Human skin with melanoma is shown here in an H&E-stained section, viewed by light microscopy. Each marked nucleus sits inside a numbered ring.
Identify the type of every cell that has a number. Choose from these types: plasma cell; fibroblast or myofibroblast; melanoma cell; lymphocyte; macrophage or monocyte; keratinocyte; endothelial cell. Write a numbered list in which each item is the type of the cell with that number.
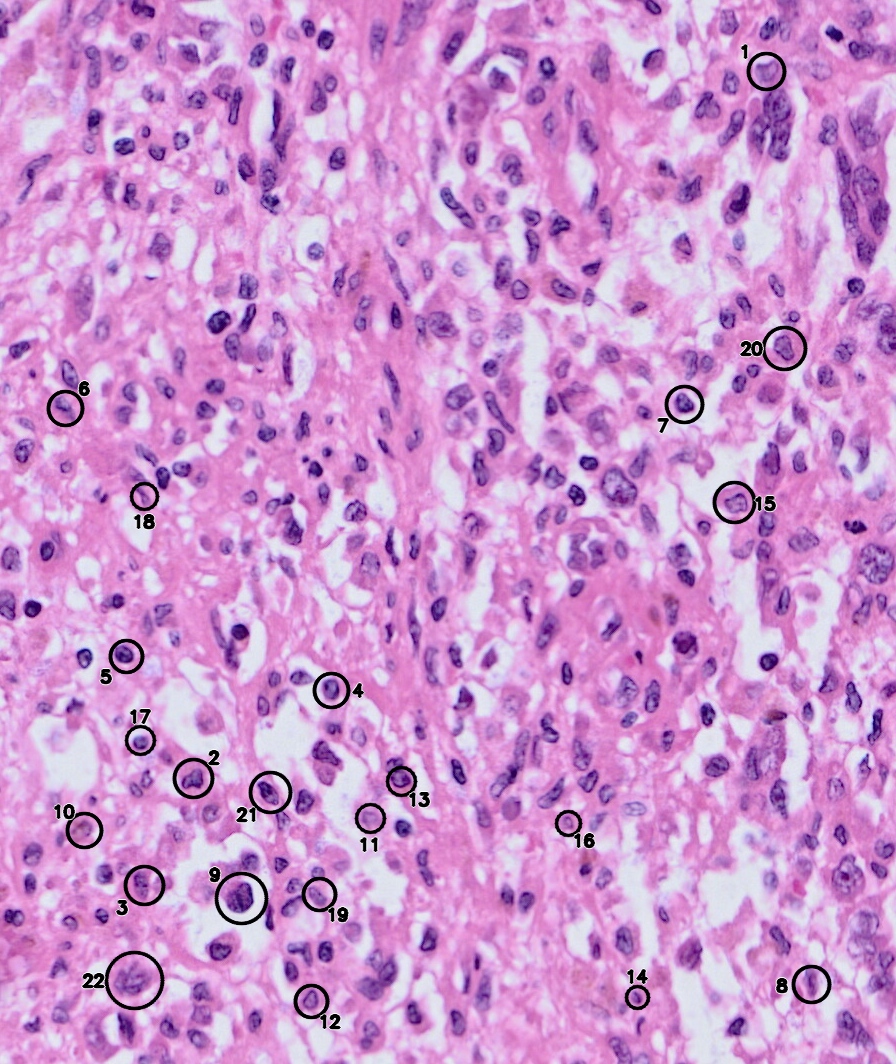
1. melanoma cell
2. macrophage or monocyte
3. macrophage or monocyte
4. lymphocyte
5. lymphocyte
6. macrophage or monocyte
7. lymphocyte
8. fibroblast or myofibroblast
9. melanoma cell
10. macrophage or monocyte
11. macrophage or monocyte
12. macrophage or monocyte
13. macrophage or monocyte
14. macrophage or monocyte
15. macrophage or monocyte
16. macrophage or monocyte
17. lymphocyte
18. fibroblast or myofibroblast
19. macrophage or monocyte
20. macrophage or monocyte
21. lymphocyte
22. melanoma cell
